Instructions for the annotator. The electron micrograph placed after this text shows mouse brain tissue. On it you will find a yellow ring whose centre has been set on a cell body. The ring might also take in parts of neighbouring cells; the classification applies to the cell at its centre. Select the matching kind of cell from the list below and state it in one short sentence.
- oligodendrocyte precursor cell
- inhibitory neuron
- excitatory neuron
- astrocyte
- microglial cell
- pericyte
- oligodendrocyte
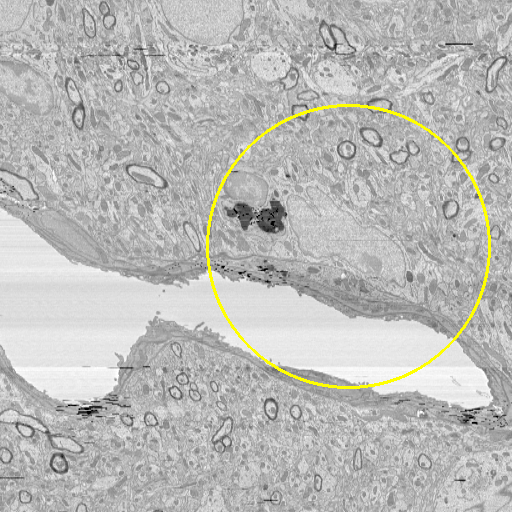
The ring is drawn on the cell body of an oligodendrocyte precursor cell.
